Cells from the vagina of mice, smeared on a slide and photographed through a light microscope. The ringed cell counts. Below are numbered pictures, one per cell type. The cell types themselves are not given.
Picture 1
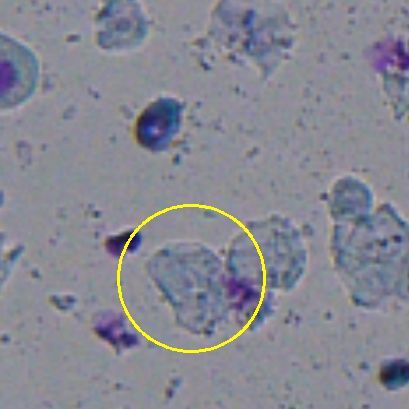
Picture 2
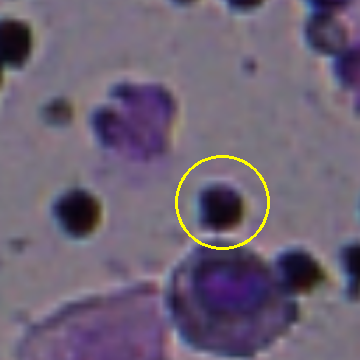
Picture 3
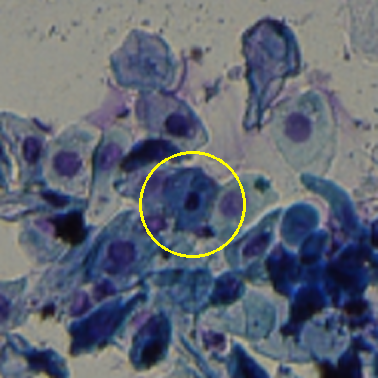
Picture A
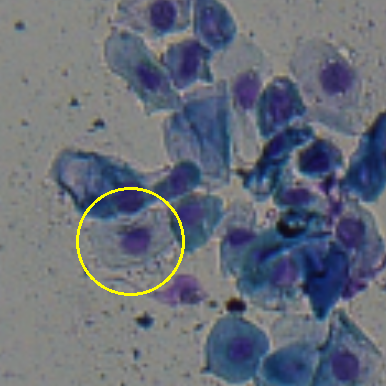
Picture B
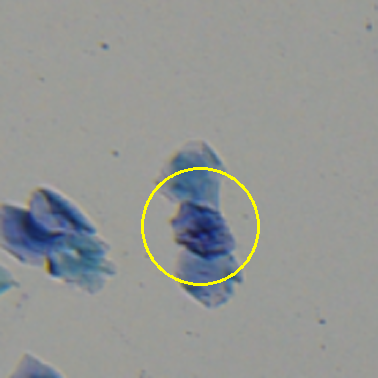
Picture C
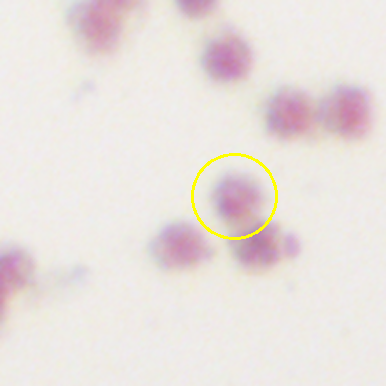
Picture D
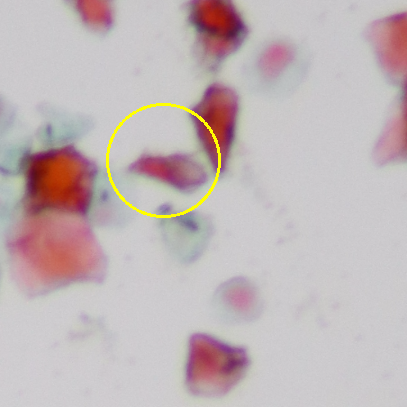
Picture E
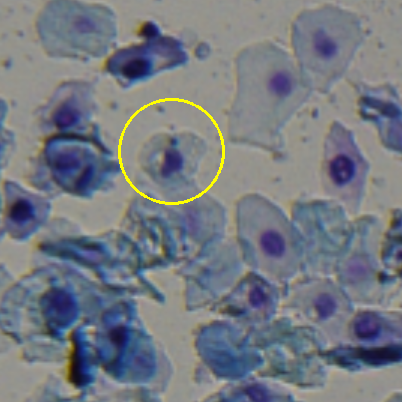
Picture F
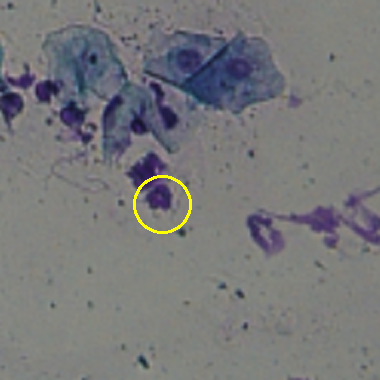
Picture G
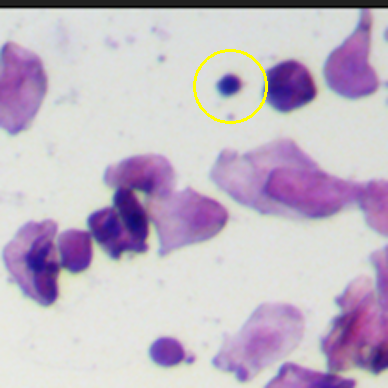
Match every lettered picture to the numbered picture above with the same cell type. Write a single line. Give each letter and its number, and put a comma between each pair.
A 3, B 1, C 2, D 1, E 3, F 2, G 2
